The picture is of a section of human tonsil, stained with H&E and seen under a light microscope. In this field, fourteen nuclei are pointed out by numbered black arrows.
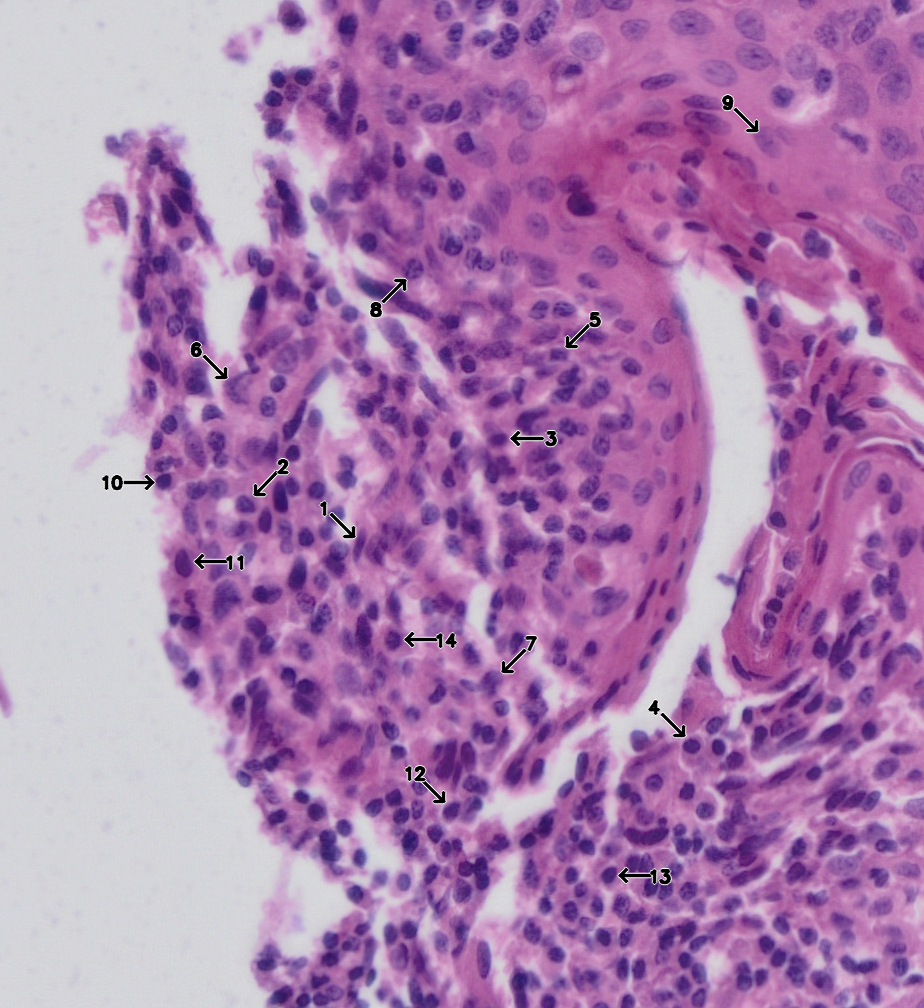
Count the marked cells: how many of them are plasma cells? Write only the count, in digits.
7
